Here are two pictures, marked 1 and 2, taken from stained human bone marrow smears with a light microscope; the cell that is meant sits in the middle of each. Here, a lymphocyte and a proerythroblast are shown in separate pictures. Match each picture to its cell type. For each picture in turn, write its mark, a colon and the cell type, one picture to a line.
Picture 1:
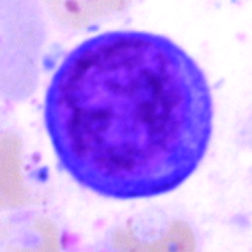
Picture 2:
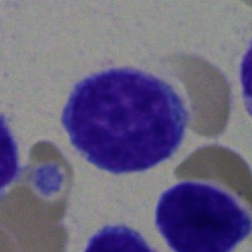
1: proerythroblast
2: lymphocyte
